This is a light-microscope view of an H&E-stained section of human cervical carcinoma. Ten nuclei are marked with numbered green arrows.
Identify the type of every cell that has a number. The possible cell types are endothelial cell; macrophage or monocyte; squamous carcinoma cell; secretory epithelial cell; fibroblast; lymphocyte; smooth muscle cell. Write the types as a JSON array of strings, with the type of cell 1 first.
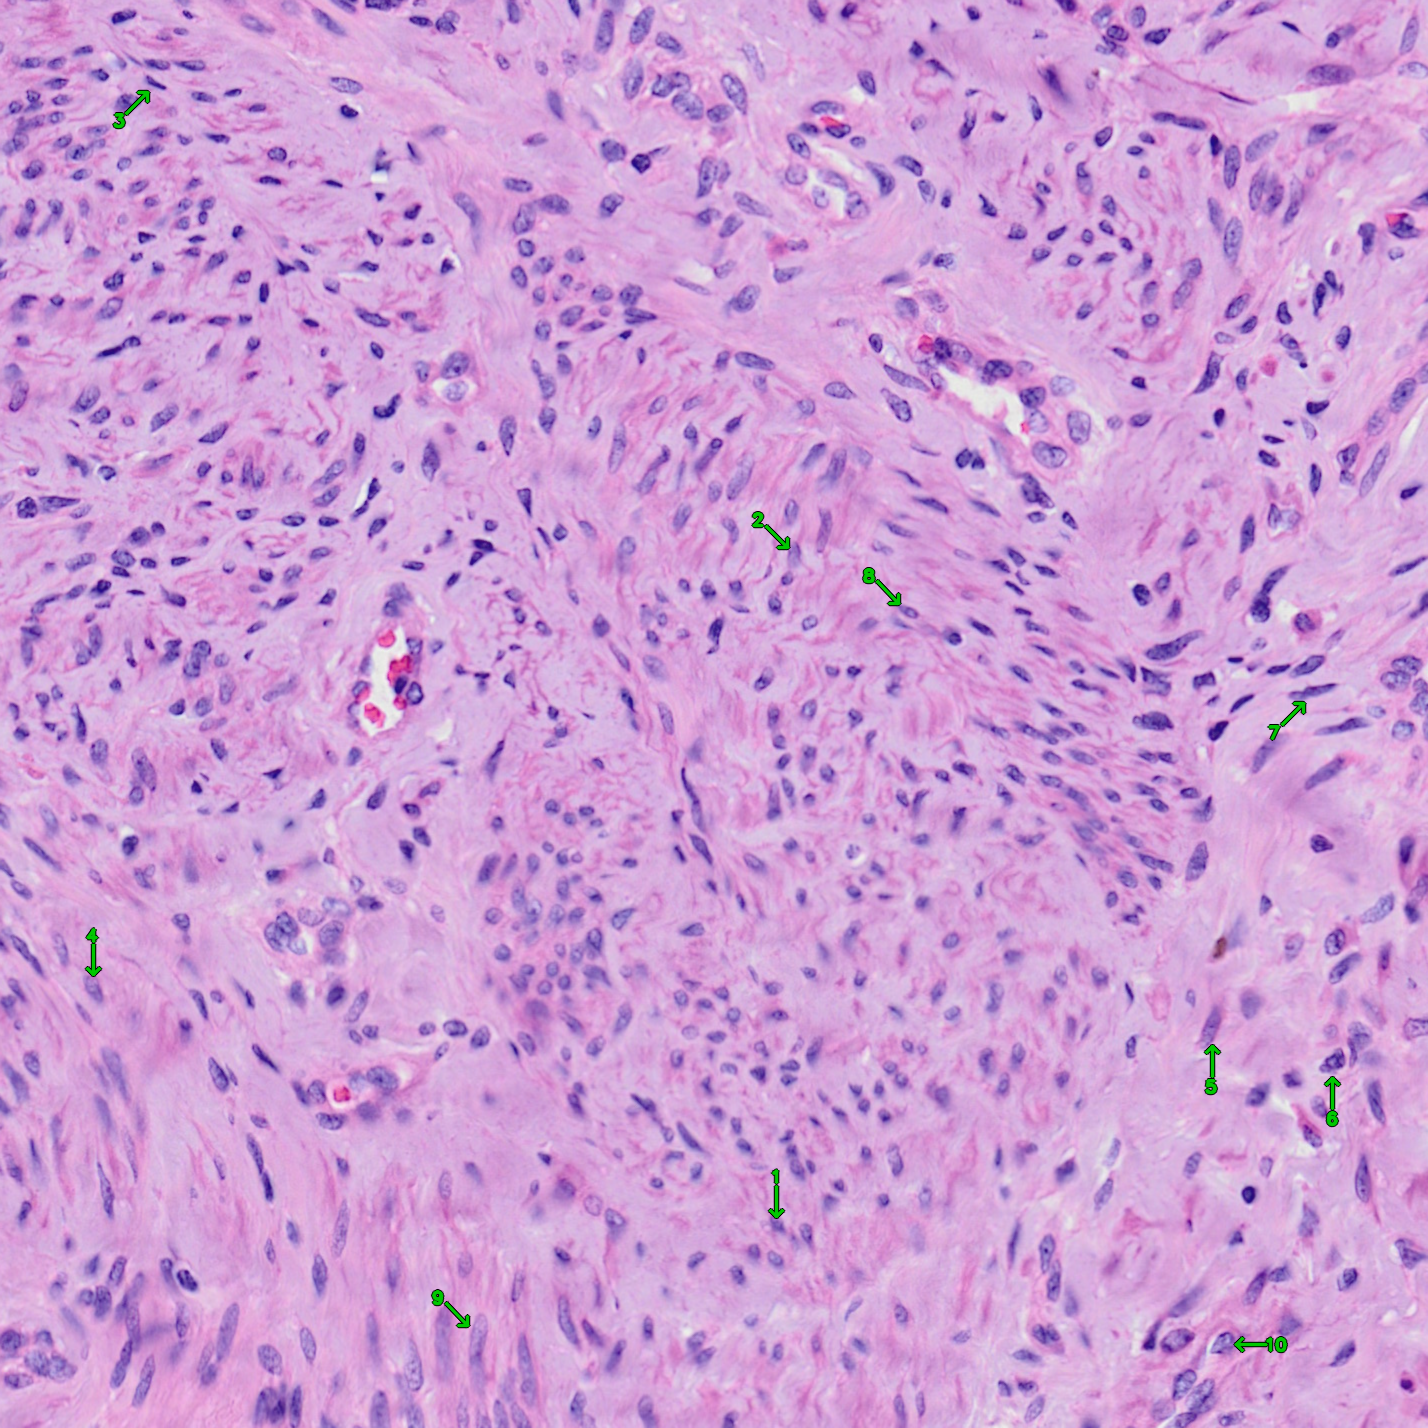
["smooth muscle cell", "smooth muscle cell", "fibroblast", "smooth muscle cell", "smooth muscle cell", "lymphocyte", "fibroblast", "smooth muscle cell", "smooth muscle cell", "endothelial cell"]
